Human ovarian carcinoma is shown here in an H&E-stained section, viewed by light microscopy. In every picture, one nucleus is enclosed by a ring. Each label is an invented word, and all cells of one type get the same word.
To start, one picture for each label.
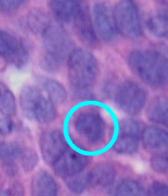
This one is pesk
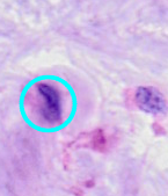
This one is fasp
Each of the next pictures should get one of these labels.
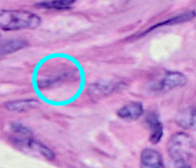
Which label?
fasp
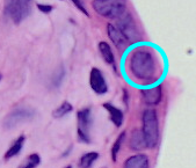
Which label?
pesk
